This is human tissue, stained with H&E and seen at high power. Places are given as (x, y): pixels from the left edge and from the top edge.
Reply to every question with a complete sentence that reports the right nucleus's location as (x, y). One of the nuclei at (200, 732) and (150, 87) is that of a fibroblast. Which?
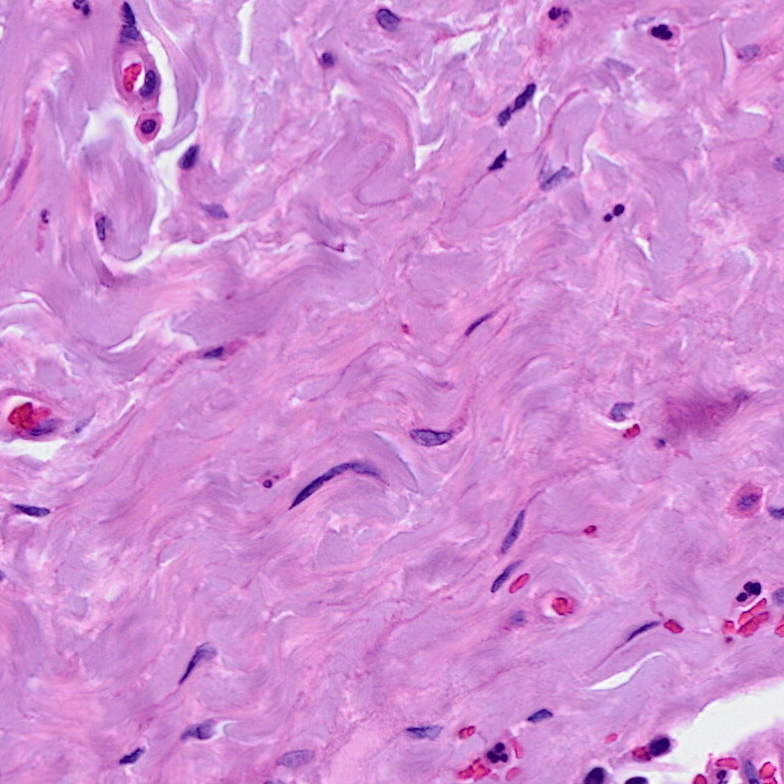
The nucleus at (200, 732) is attributed to a fibroblast, unlike the other nucleus.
